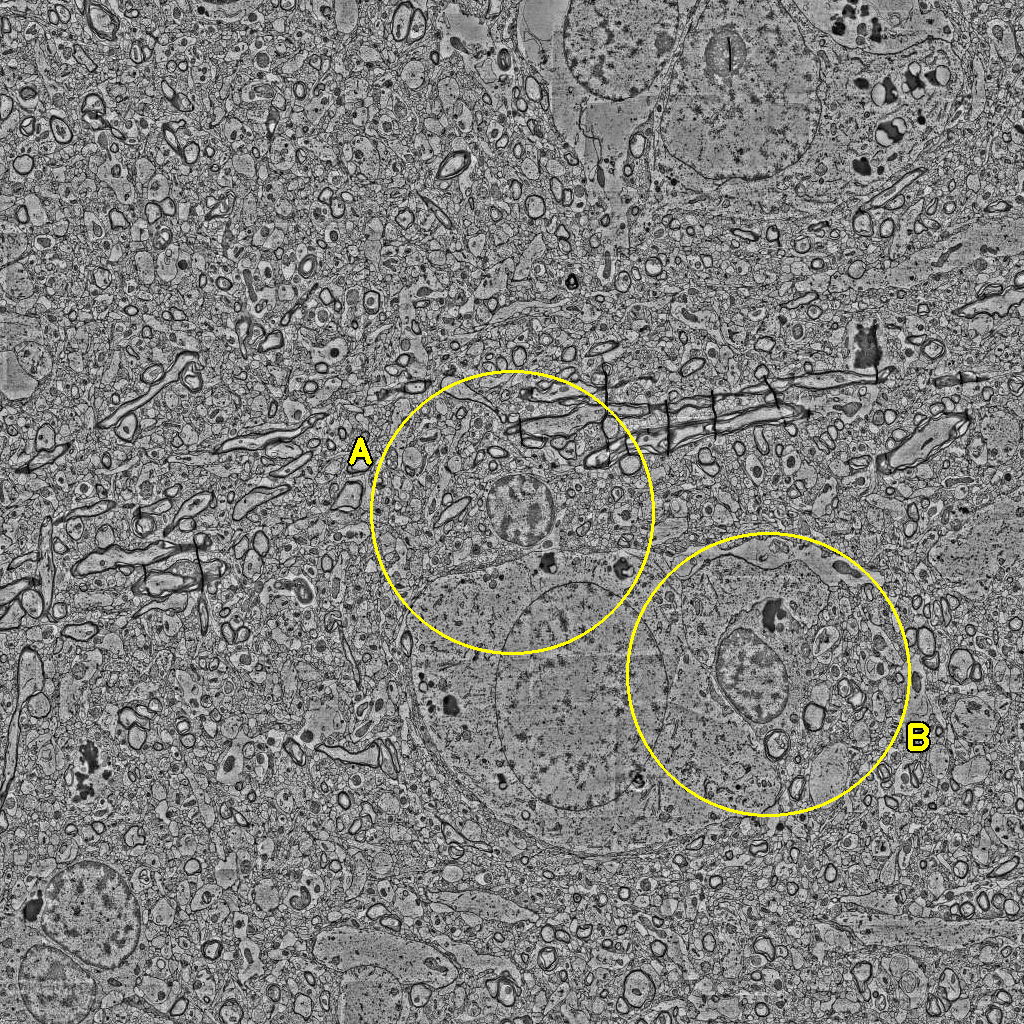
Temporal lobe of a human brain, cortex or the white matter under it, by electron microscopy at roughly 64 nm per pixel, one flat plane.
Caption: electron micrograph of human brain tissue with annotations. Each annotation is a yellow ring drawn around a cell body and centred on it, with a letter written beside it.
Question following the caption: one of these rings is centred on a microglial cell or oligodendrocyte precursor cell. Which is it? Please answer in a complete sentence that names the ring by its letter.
The ring with the letter A is centred on it.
